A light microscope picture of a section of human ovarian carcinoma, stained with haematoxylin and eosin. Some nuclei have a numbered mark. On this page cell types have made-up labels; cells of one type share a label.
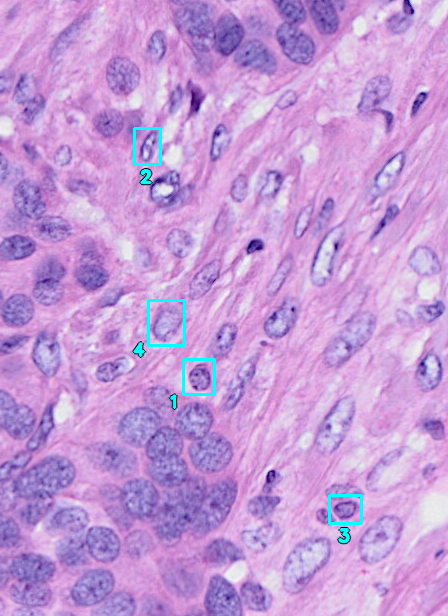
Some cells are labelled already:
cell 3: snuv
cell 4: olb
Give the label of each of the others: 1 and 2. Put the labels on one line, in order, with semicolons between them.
snuv; olb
